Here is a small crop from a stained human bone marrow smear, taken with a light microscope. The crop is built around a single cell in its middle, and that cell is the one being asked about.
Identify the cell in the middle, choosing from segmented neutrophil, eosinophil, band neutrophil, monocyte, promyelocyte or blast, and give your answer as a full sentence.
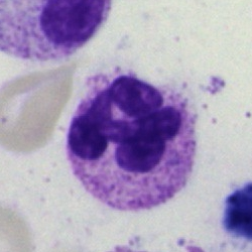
Of the cells in this crop, the central one is a segmented neutrophil.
